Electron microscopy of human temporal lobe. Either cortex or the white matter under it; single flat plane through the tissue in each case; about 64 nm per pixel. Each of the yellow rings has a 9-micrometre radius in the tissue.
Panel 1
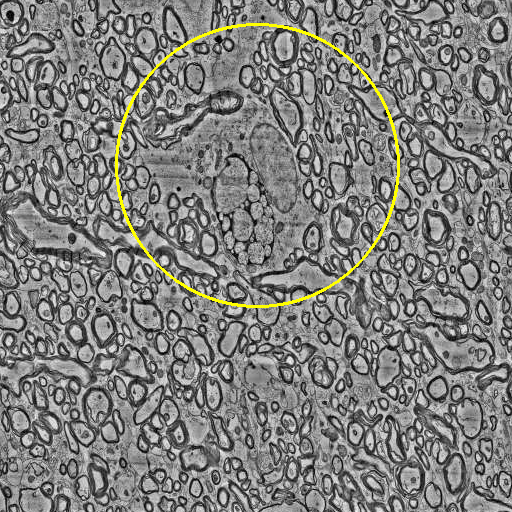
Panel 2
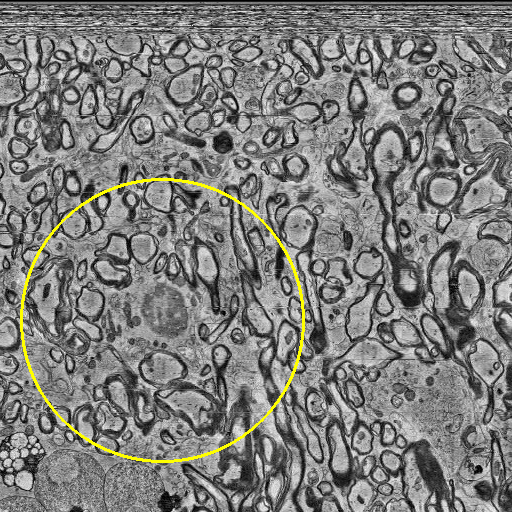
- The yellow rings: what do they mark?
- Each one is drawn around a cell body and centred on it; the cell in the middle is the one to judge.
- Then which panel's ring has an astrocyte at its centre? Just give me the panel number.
1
